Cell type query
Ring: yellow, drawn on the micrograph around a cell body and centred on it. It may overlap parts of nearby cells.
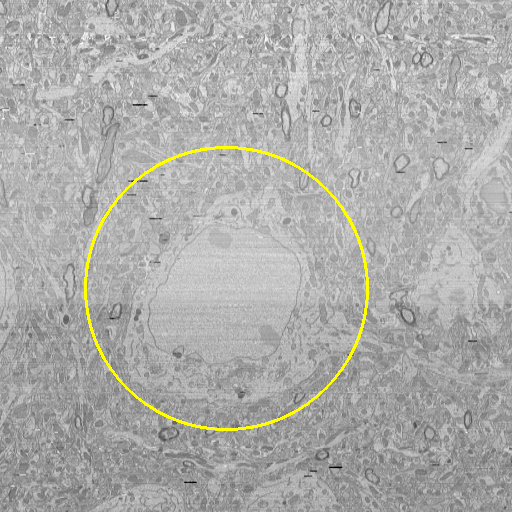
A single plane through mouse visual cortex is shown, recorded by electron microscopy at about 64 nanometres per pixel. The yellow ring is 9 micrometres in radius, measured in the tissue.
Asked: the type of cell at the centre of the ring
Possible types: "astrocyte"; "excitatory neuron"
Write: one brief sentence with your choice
The ring marks an excitatory neuron.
